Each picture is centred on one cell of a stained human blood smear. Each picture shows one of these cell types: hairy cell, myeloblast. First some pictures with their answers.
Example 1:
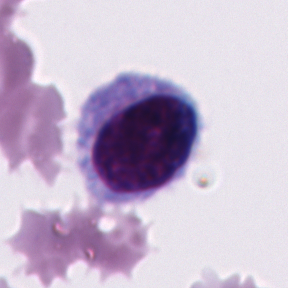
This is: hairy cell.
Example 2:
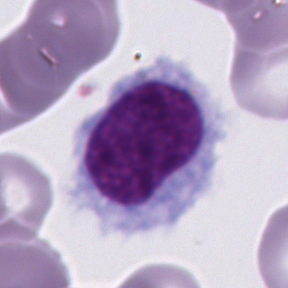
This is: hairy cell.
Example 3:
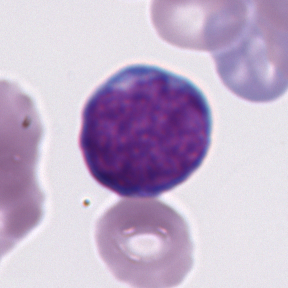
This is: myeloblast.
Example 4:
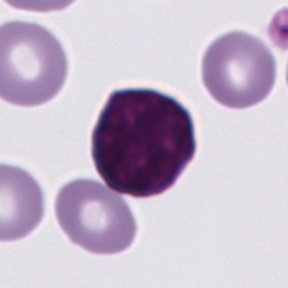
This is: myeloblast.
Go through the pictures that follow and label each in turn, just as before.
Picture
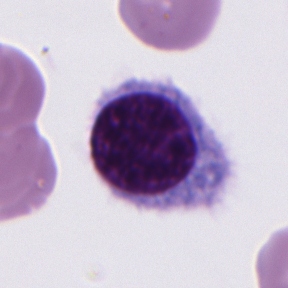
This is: hairy cell.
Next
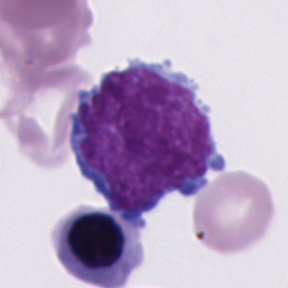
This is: myeloblast.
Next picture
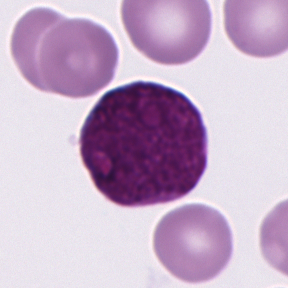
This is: myeloblast.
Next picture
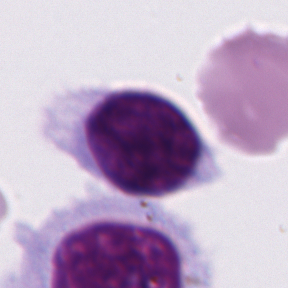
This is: hairy cell.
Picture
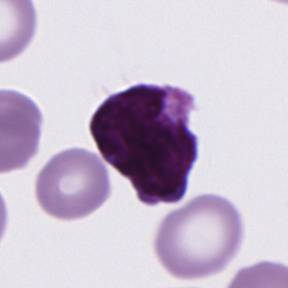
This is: myeloblast.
